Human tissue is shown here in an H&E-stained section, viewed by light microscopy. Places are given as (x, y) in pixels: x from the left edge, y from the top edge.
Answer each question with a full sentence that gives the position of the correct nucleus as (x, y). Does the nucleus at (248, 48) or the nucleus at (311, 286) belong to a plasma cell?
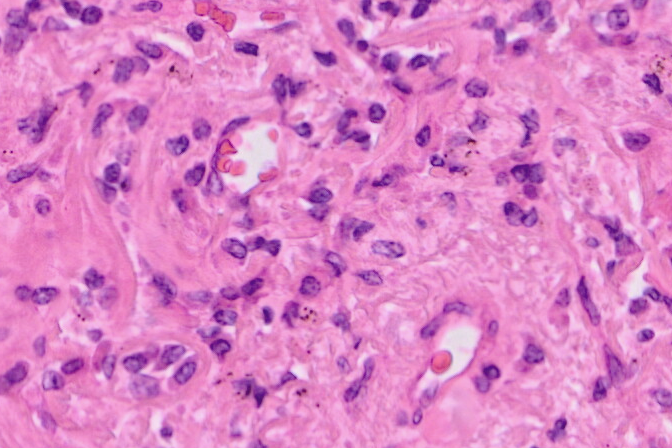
The nucleus at (311, 286) is part of a plasma cell, while the other is not.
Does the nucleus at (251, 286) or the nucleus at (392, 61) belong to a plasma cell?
Of the two candidate nuclei, the one at (251, 286) is that of a plasma cell.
